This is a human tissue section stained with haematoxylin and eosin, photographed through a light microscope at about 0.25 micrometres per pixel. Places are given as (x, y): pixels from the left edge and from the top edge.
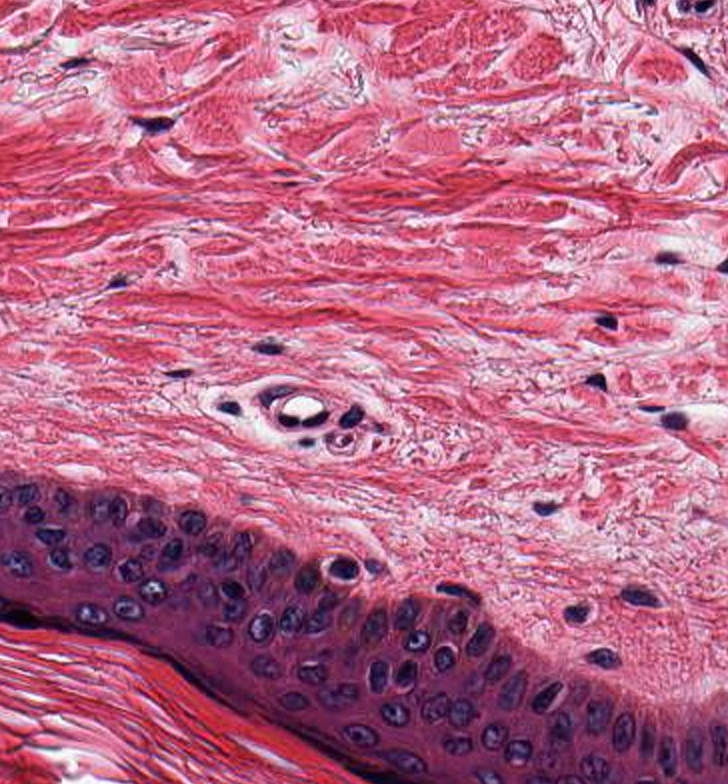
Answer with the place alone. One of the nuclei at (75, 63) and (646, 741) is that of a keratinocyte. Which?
(646, 741)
